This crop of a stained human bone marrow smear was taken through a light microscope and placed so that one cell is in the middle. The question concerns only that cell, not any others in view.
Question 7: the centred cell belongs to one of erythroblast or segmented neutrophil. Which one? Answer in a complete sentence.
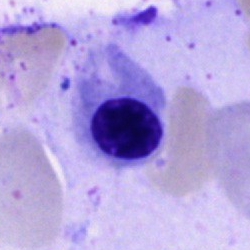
Within this crop, an erythroblast occupies the central position.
